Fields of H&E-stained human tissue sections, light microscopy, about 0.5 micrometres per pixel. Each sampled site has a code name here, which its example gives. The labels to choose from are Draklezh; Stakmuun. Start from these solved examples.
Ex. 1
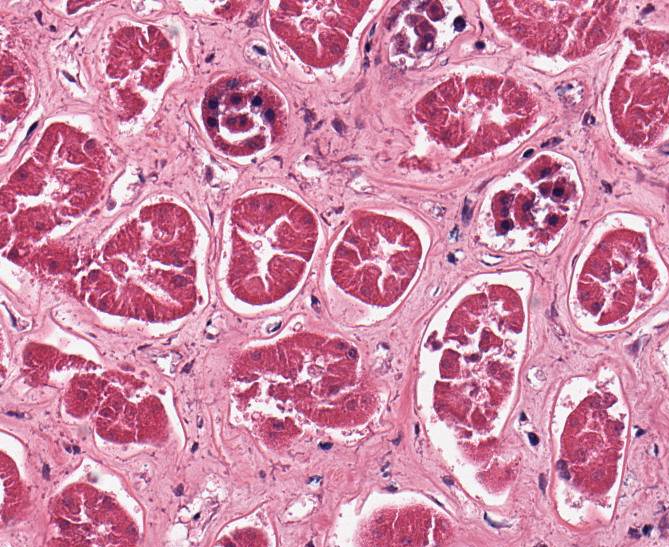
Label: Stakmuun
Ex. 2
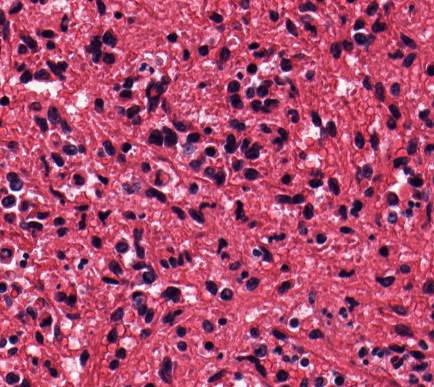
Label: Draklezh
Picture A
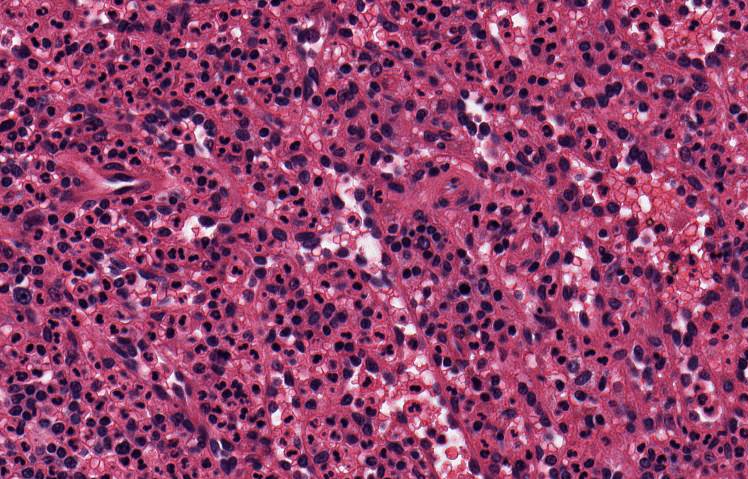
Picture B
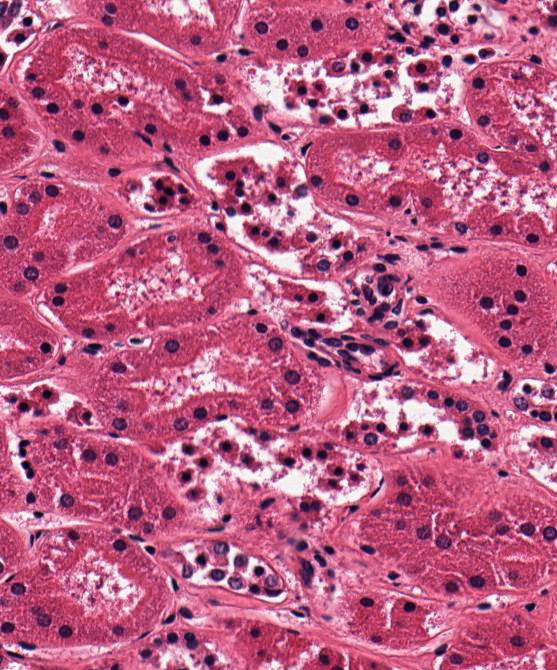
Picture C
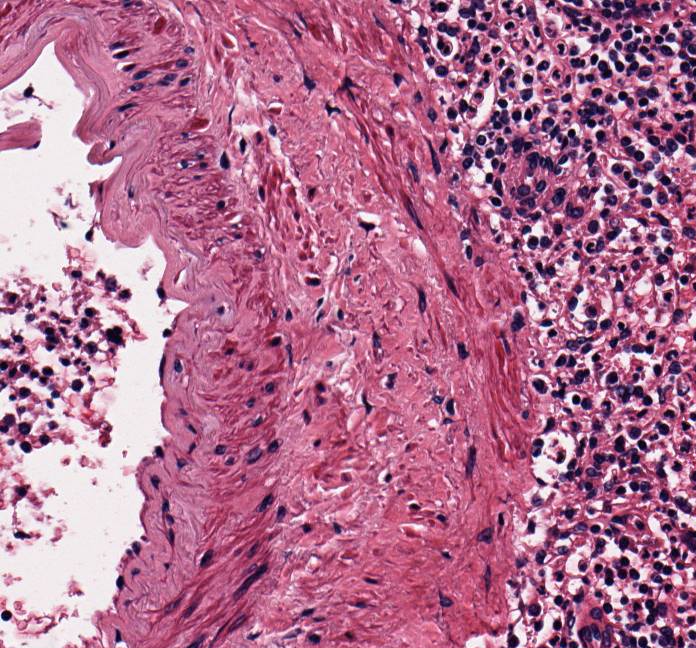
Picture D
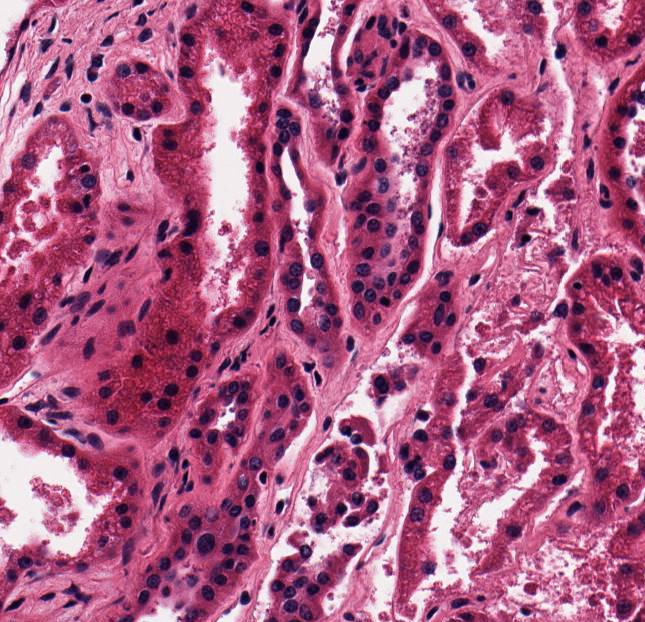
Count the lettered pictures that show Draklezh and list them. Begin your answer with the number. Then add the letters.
2: A, C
